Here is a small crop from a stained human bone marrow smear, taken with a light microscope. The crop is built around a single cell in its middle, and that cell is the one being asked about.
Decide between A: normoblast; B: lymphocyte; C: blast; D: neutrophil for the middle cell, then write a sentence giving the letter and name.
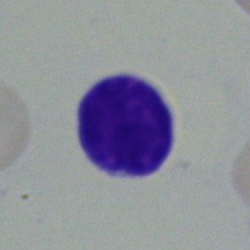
The cell occupying the centre is a lymphocyte; option B is thus the correct choice.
